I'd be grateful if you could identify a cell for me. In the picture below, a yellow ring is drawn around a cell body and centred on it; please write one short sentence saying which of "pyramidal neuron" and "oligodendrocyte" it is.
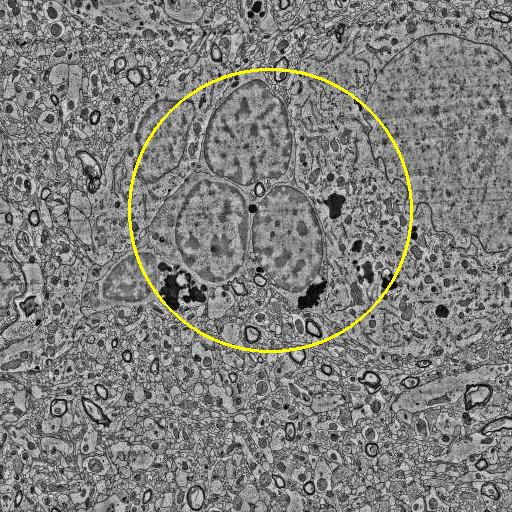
The cell under the ring's centre is an oligodendrocyte.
